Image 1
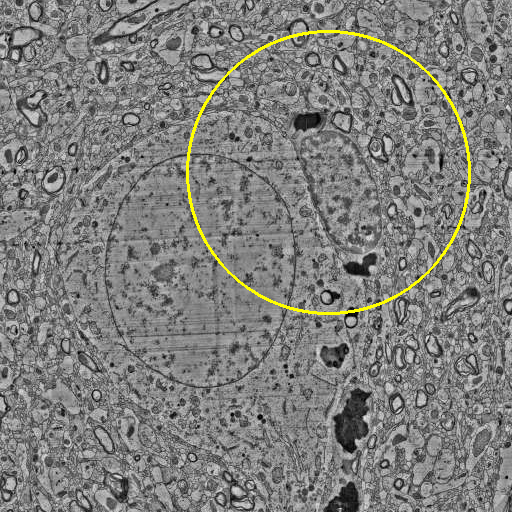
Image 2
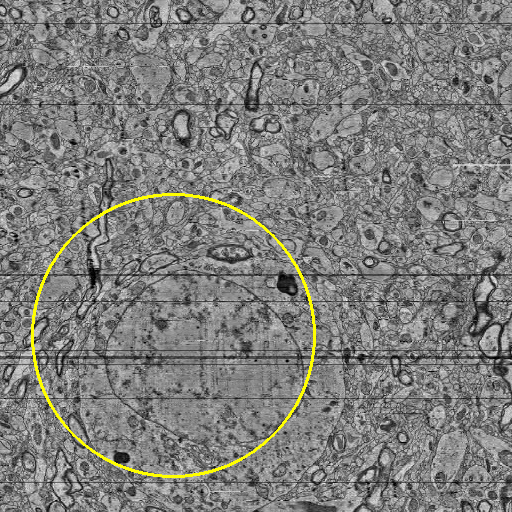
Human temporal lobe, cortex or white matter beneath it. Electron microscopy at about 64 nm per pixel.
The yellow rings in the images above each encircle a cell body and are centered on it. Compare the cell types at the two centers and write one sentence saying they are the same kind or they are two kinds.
Taken together, the two cells at the ring centers are two kinds.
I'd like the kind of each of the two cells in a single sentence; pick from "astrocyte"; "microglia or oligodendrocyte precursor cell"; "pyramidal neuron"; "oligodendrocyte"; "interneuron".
The first ring marks an oligodendrocyte, and the second ring marks a pyramidal neuron.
